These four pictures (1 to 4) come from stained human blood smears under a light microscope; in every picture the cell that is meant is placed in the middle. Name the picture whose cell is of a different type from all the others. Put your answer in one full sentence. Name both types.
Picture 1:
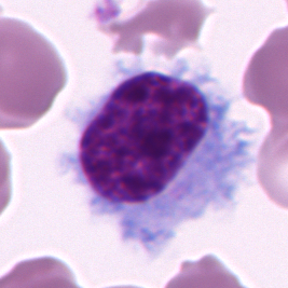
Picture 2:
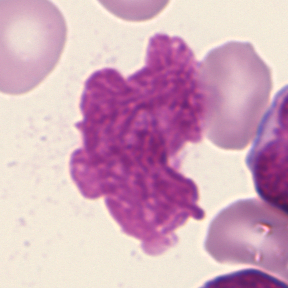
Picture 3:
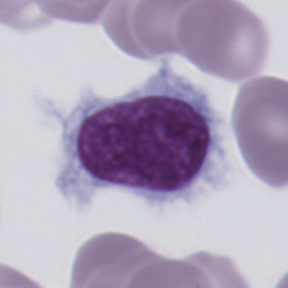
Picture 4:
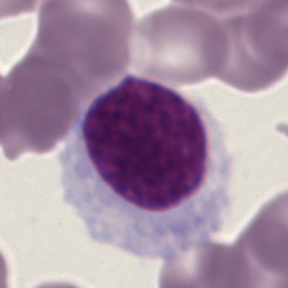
The different one is picture 2; it shows a smudge cell, whereas all the others show hairy cells.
